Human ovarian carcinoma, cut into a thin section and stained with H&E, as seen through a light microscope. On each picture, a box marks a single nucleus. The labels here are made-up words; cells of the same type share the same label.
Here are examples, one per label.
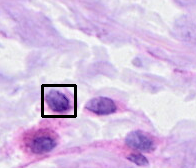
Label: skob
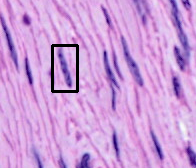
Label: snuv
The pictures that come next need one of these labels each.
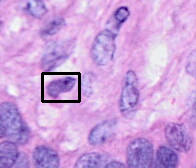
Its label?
skob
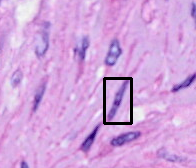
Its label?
snuv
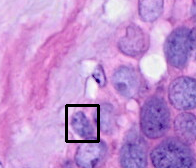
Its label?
skob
